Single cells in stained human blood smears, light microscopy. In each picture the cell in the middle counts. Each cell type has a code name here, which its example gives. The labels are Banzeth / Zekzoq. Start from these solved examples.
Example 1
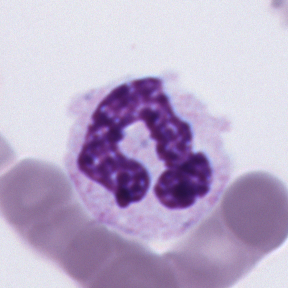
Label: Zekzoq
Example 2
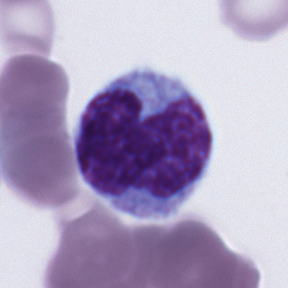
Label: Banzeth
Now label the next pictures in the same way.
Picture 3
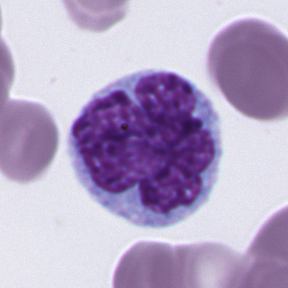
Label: Banzeth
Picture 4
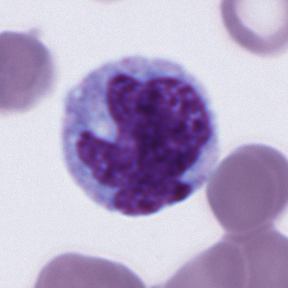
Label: Banzeth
